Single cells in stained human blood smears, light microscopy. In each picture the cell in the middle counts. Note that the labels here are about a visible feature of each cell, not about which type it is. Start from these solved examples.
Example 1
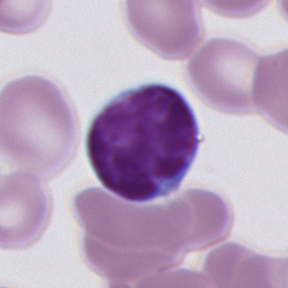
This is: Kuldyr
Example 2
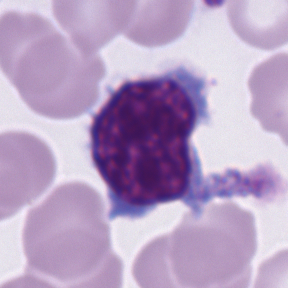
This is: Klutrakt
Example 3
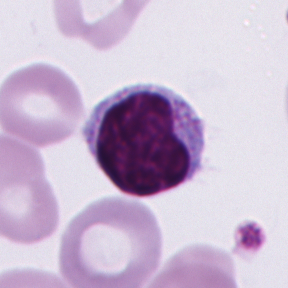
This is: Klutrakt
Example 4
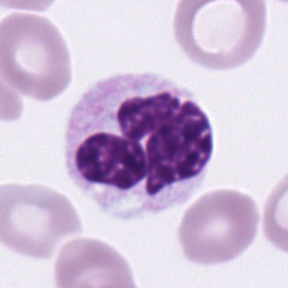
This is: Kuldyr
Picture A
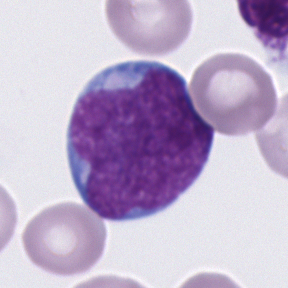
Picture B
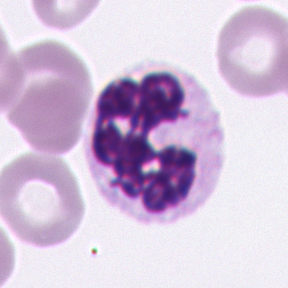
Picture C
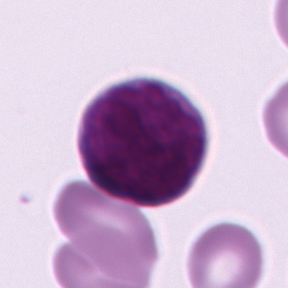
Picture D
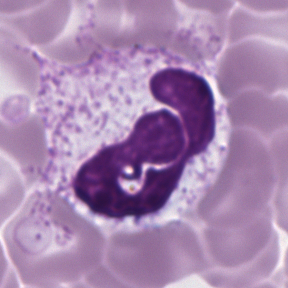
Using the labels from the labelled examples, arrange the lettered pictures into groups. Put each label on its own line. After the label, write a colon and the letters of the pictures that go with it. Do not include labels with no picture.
Kuldyr: A, B, C
Klutrakt: D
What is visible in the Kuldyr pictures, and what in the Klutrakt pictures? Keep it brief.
Kuldyr: smooth outline; Klutrakt: ragged outline or projections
